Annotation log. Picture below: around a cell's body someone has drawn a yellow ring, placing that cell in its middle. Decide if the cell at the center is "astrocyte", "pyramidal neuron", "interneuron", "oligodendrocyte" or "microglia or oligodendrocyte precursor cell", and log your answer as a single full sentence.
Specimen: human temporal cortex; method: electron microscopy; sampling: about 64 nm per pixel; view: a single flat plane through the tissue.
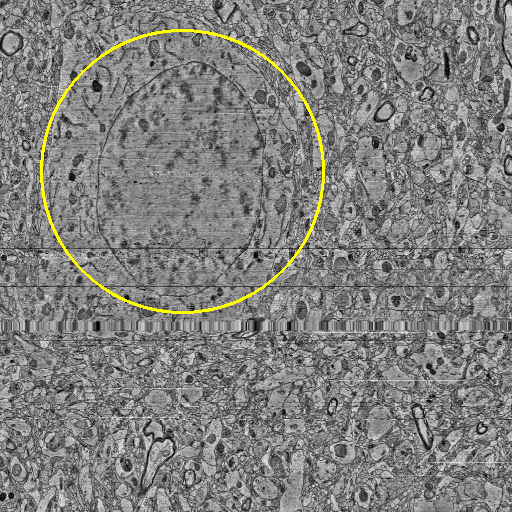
My entry records a pyramidal neuron as the cell sitting at the center of the yellow ring.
